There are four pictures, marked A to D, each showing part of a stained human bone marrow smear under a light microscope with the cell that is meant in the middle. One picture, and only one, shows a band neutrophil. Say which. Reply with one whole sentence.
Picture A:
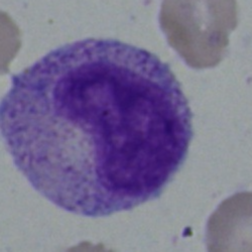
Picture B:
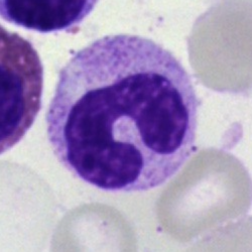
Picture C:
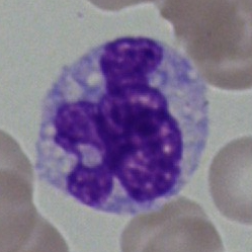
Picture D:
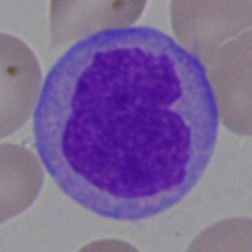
Picture B shows the band neutrophil.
